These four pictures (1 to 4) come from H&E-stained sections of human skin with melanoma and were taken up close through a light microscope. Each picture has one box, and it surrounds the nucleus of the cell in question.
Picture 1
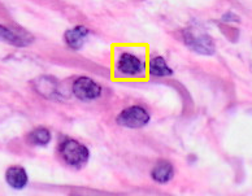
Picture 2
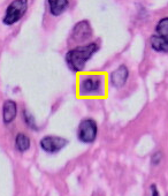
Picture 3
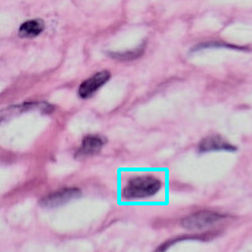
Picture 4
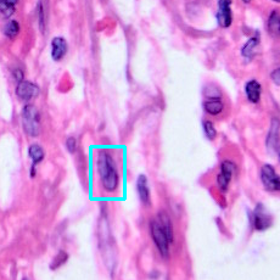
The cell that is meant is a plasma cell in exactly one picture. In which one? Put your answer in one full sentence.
Picture 1 shows the plasma cell.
